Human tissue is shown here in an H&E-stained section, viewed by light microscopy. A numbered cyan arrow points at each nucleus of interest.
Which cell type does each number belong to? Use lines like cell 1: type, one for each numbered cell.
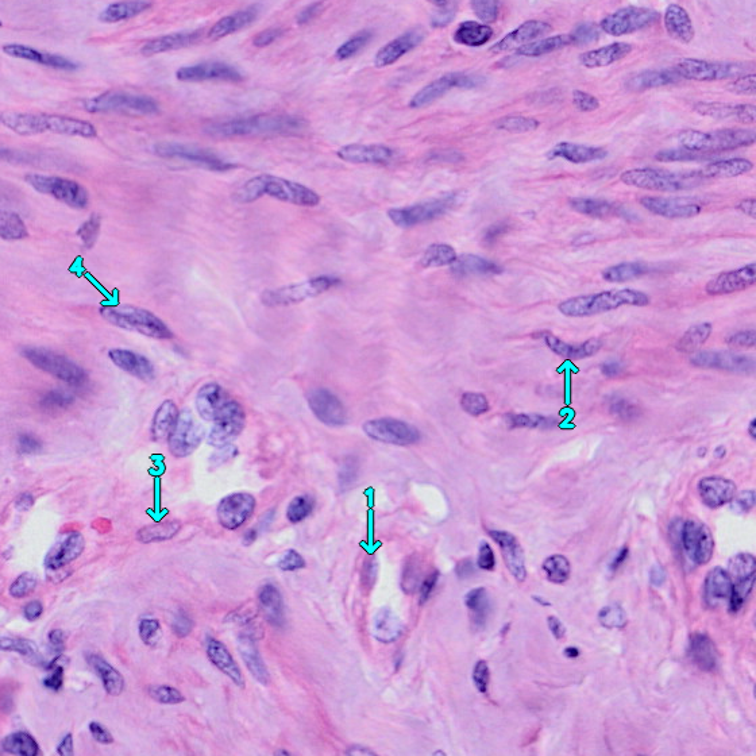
cell 1: endothelial cell
cell 2: smooth muscle cell
cell 3: endothelial cell
cell 4: fibroblast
